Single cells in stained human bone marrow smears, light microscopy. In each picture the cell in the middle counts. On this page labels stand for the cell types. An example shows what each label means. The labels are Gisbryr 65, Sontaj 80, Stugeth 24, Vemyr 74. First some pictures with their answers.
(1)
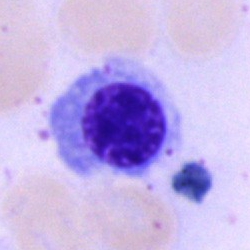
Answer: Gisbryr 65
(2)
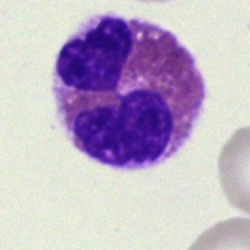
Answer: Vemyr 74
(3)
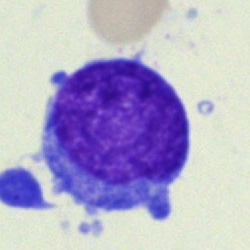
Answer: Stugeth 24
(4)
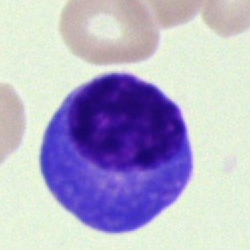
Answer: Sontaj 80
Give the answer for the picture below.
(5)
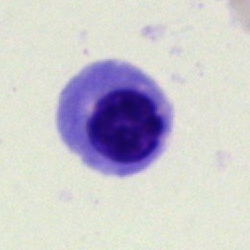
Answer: Gisbryr 65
